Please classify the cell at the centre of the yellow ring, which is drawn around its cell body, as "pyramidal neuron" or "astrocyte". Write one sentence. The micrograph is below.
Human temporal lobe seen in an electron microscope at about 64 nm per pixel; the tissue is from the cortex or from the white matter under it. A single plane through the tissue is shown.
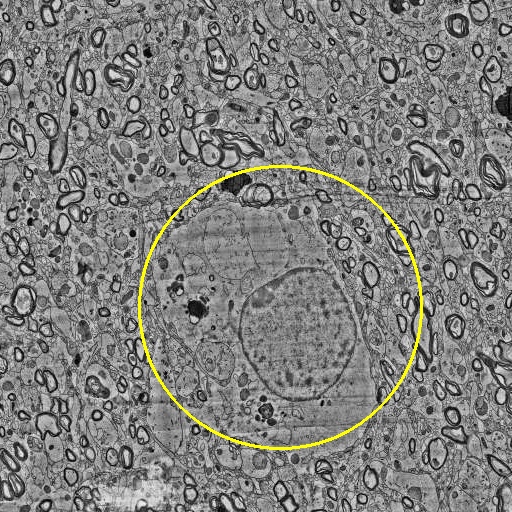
The cell at the ring's centre is classified as an astrocyte.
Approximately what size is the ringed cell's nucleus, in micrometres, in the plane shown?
In this plane the nucleus is about 8 micrometres across.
